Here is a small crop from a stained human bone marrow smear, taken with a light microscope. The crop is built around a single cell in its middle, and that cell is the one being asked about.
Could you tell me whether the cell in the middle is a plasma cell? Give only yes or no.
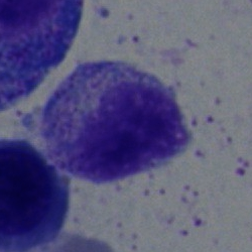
no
